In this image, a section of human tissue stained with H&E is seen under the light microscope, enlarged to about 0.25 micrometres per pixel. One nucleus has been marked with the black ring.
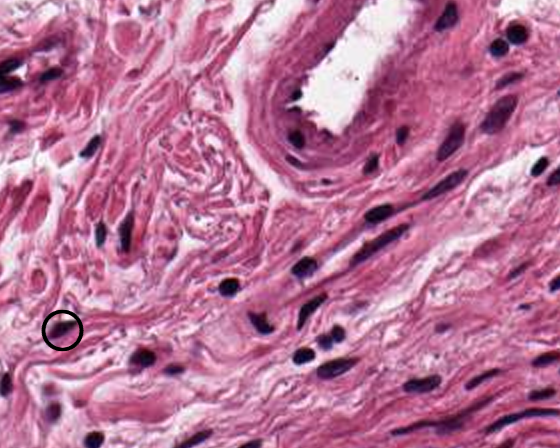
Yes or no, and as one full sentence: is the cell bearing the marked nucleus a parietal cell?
No, the marked nucleus belongs to a supporting cell, and a parietal cell is not its owner.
